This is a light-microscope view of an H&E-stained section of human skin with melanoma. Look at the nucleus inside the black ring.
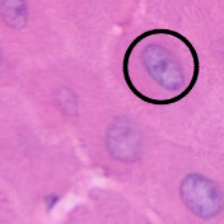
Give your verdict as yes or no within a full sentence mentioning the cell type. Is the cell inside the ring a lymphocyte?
No, for the cell inside the ring the correct label is a keratinocyte and not a lymphocyte.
